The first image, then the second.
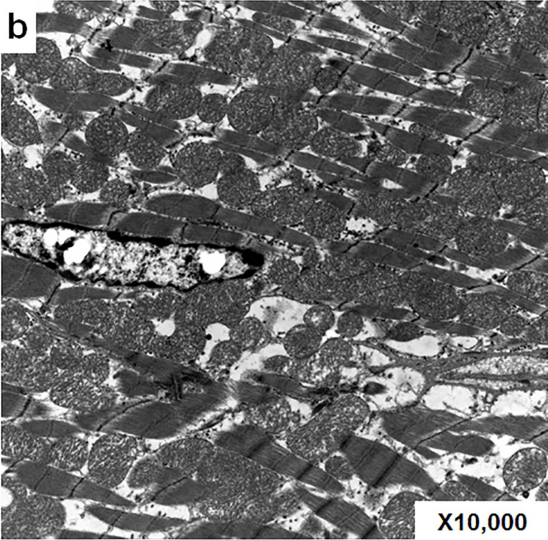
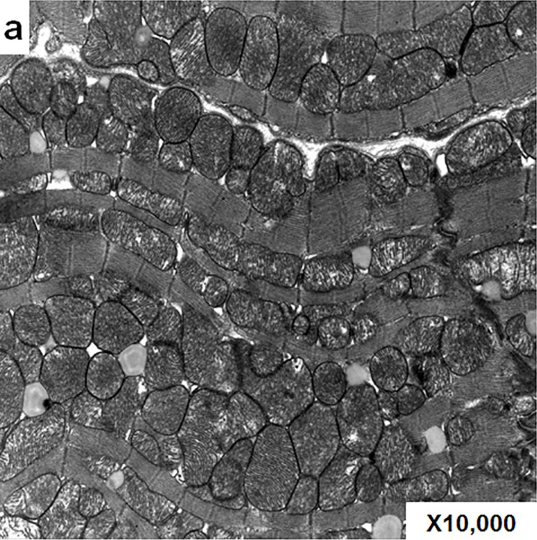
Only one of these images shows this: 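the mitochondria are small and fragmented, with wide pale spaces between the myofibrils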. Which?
the first image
